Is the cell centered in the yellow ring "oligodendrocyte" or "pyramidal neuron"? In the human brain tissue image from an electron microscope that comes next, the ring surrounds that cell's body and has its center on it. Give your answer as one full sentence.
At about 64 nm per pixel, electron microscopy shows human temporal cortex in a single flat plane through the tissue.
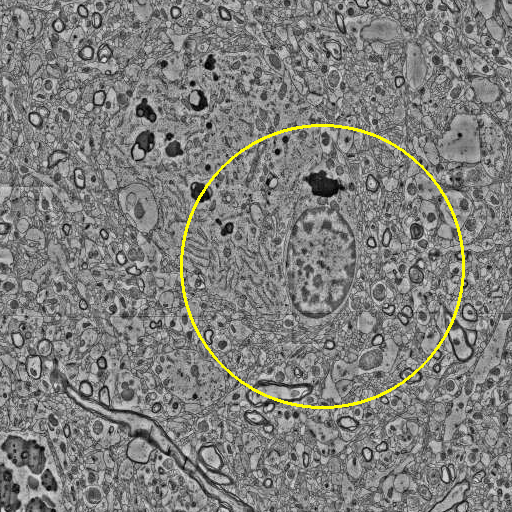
The cell at the center of the yellow ring is an oligodendrocyte in the micrograph.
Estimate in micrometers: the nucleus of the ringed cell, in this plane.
The nucleus of the ringed cell is clearly longer than it is wide in this plane, about 7 by 5 micrometres.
